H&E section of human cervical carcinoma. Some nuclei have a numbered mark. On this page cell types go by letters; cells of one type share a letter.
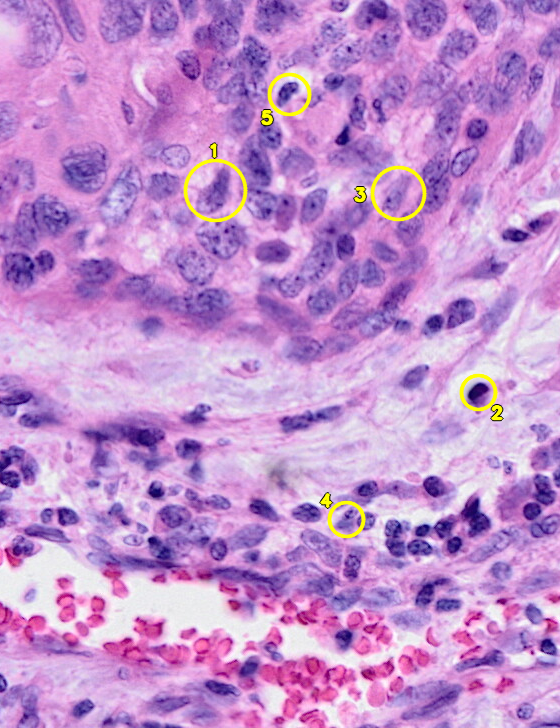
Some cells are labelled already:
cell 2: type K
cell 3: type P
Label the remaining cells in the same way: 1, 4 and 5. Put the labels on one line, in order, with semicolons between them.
type P; type K; type K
